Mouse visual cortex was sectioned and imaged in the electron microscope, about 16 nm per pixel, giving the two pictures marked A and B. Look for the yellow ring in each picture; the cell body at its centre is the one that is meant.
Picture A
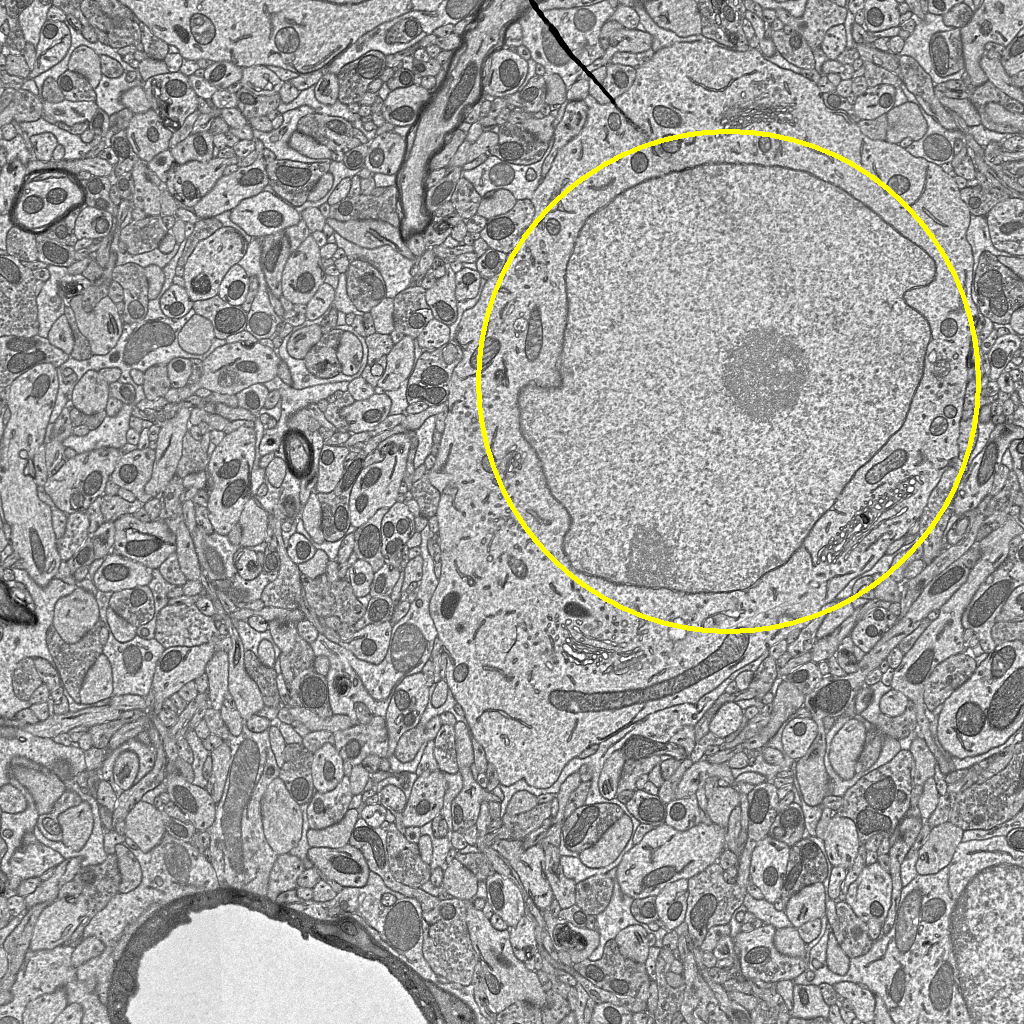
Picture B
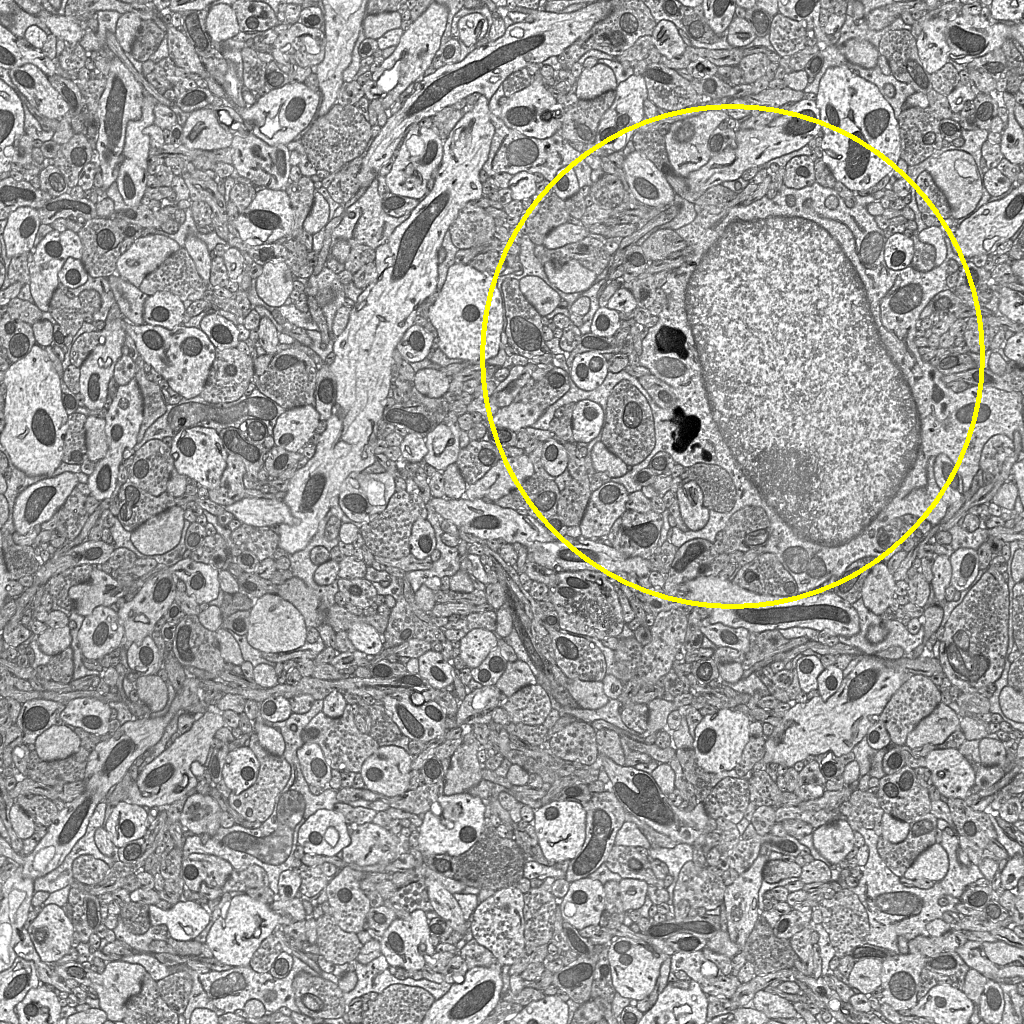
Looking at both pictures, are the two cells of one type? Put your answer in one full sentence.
No. Picture A shows an excitatory neuron, but picture B shows an astrocyte.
